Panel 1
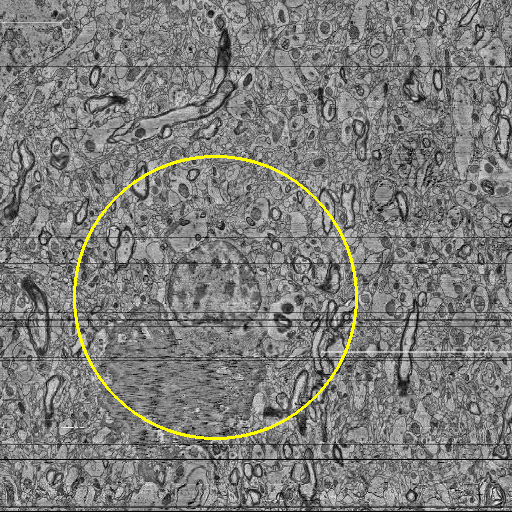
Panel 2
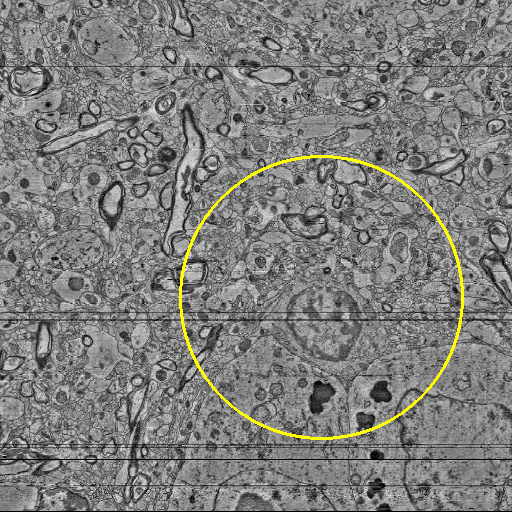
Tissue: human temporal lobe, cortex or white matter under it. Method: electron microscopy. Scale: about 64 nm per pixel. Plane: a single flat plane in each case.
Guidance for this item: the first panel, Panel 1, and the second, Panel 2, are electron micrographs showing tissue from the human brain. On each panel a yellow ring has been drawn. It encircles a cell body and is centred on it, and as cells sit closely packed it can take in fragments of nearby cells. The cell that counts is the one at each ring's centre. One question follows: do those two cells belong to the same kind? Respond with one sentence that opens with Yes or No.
Yes, the cells at the ring centres in Panel 1 and Panel 2 are of one kind.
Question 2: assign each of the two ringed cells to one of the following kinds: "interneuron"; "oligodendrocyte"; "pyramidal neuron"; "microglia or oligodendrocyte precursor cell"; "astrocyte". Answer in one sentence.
In both pictures the ring is centred on an oligodendrocyte.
